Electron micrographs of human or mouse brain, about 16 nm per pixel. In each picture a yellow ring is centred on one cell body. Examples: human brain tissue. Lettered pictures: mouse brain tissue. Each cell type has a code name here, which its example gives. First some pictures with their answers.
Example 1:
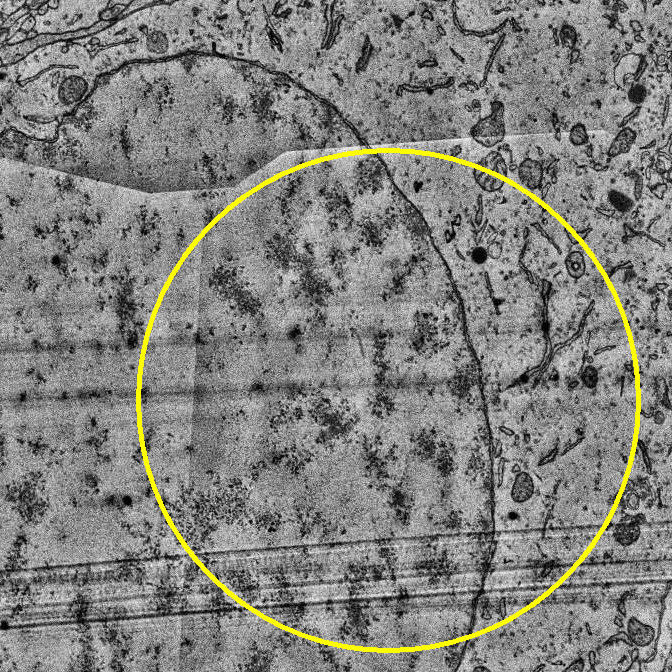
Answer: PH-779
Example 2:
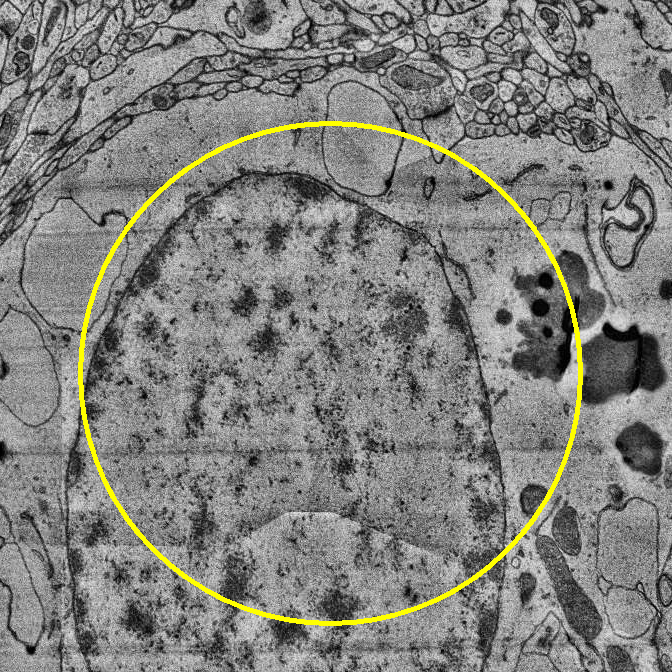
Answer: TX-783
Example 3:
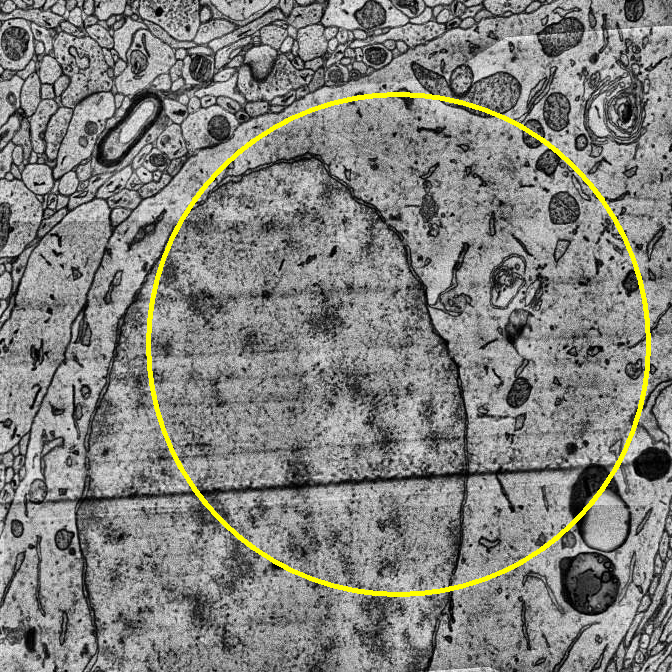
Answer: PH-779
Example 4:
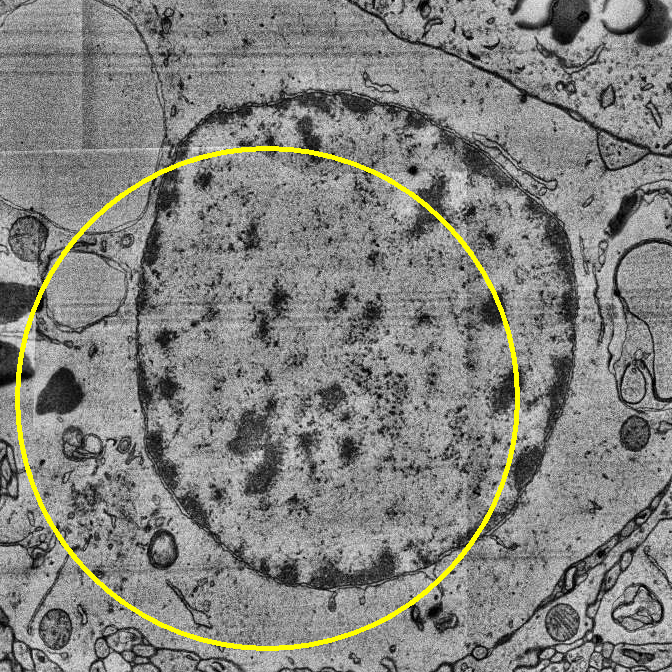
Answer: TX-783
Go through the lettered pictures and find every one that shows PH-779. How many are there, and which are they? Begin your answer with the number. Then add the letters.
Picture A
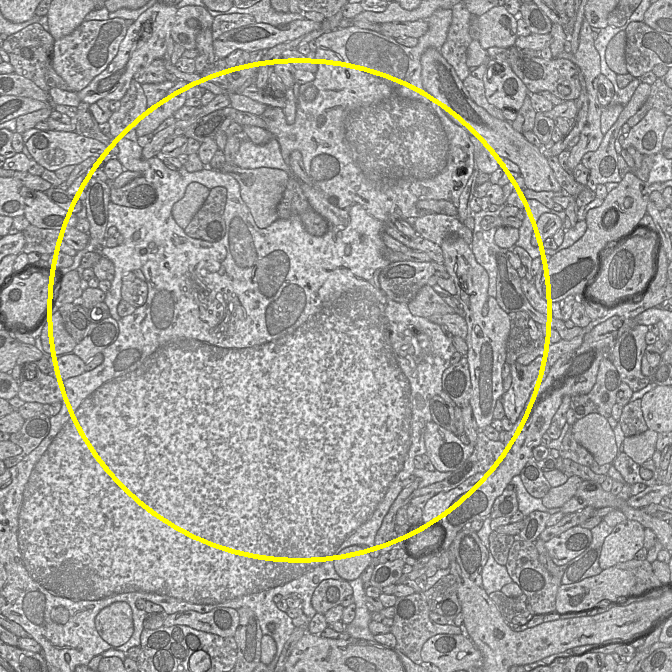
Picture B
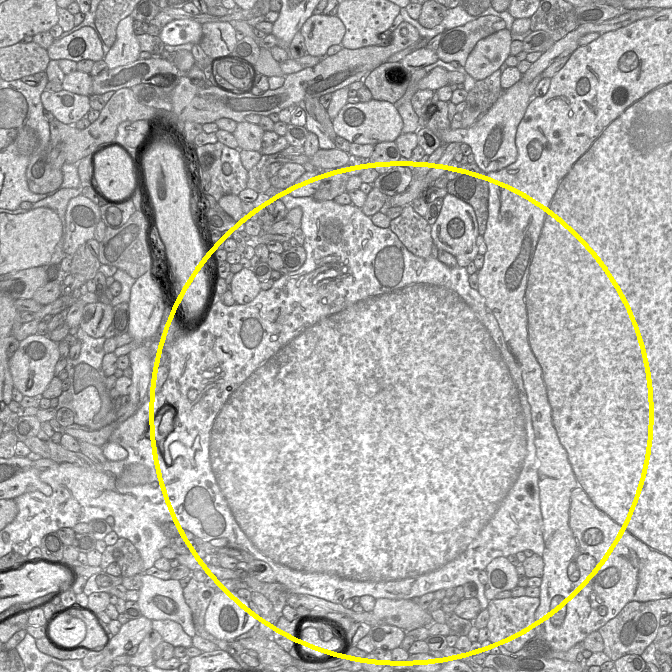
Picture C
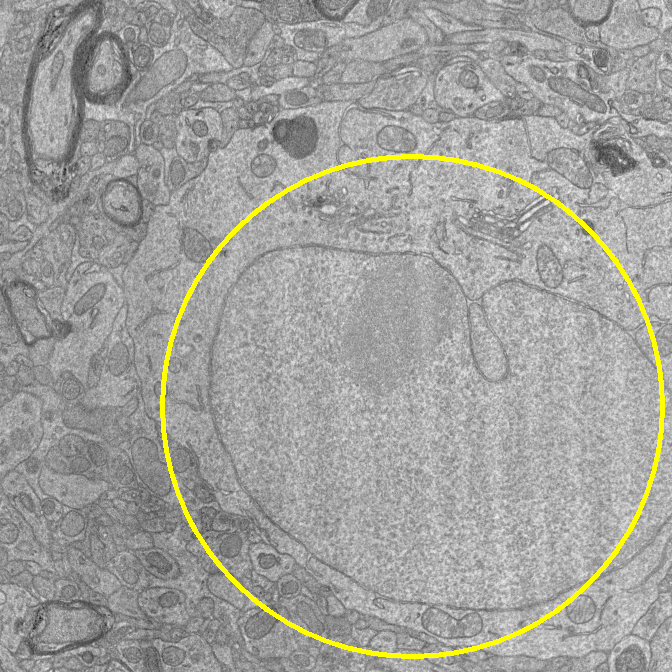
1: C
